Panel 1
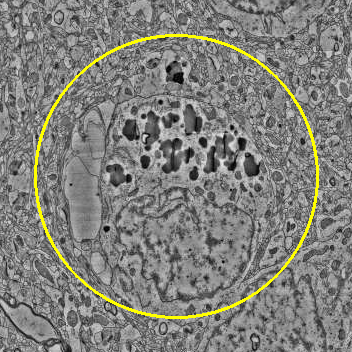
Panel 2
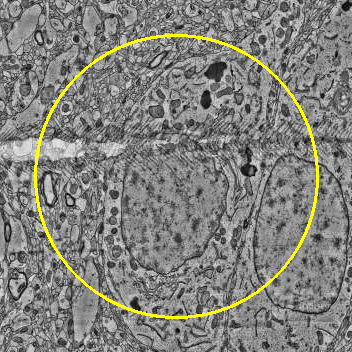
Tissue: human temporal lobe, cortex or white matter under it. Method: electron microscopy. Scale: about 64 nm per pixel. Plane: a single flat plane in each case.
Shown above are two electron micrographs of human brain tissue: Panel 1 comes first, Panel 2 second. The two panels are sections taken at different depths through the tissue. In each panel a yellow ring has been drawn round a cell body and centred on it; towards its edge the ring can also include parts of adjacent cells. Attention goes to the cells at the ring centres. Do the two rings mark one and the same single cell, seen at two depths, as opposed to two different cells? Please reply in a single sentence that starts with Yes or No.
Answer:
No, the cells inside the two rings are not the same cell.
